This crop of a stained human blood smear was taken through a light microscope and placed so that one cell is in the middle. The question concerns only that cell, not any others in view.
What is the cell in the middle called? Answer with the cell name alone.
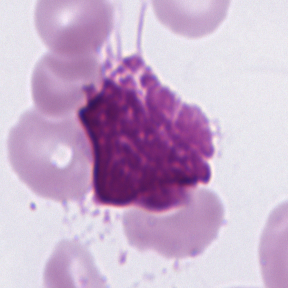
smudge cell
